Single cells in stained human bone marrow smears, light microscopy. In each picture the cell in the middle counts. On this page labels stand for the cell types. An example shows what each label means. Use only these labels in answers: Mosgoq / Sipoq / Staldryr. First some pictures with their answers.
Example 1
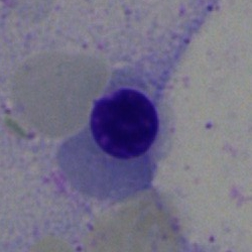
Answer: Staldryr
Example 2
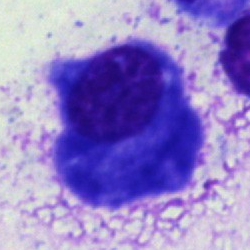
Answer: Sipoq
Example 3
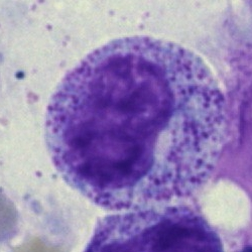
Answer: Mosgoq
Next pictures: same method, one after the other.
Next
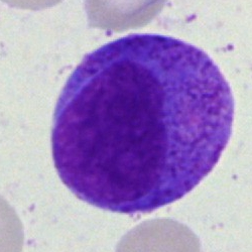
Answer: Mosgoq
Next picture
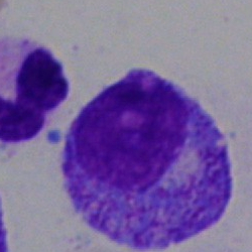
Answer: Mosgoq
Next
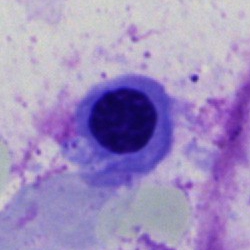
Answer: Staldryr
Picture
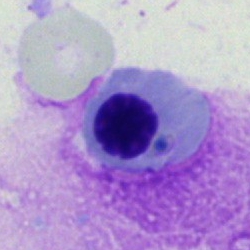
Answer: Staldryr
